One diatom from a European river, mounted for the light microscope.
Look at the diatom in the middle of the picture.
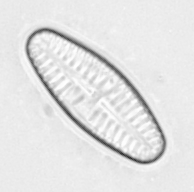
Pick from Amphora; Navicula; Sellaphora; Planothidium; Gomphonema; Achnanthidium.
Planothidium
